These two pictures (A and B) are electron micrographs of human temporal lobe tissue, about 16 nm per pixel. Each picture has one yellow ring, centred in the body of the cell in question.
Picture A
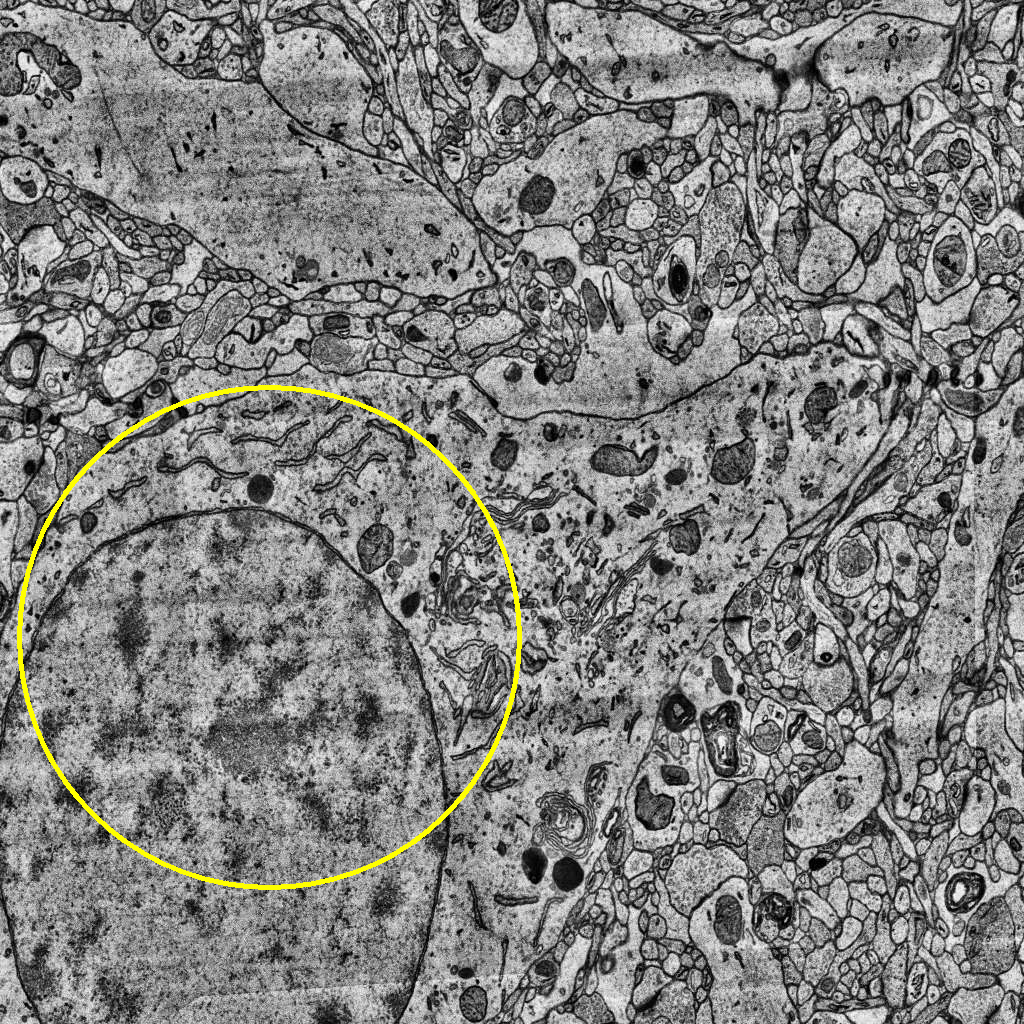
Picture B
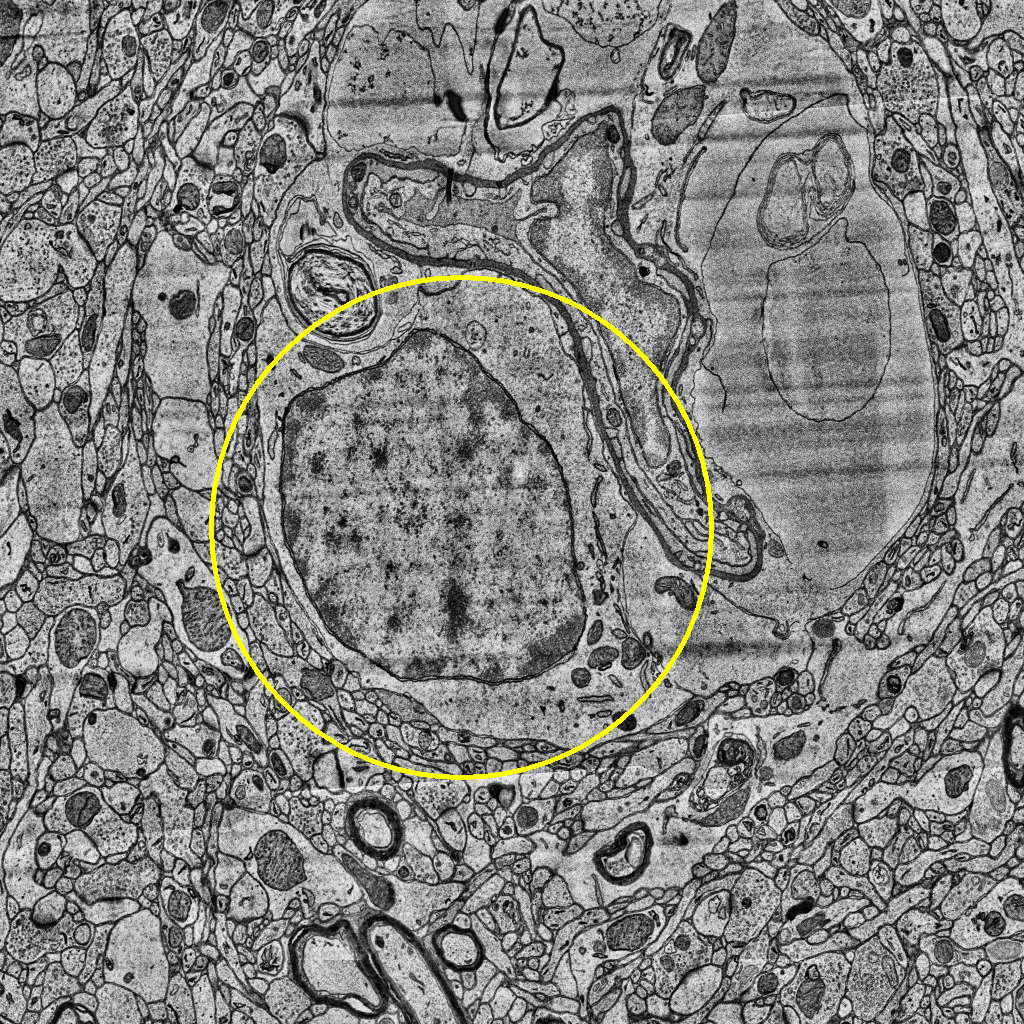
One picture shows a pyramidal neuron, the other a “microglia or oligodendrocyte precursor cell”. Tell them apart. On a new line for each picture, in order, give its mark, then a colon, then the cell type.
A: pyramidal neuron
B: microglia or oligodendrocyte precursor cell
